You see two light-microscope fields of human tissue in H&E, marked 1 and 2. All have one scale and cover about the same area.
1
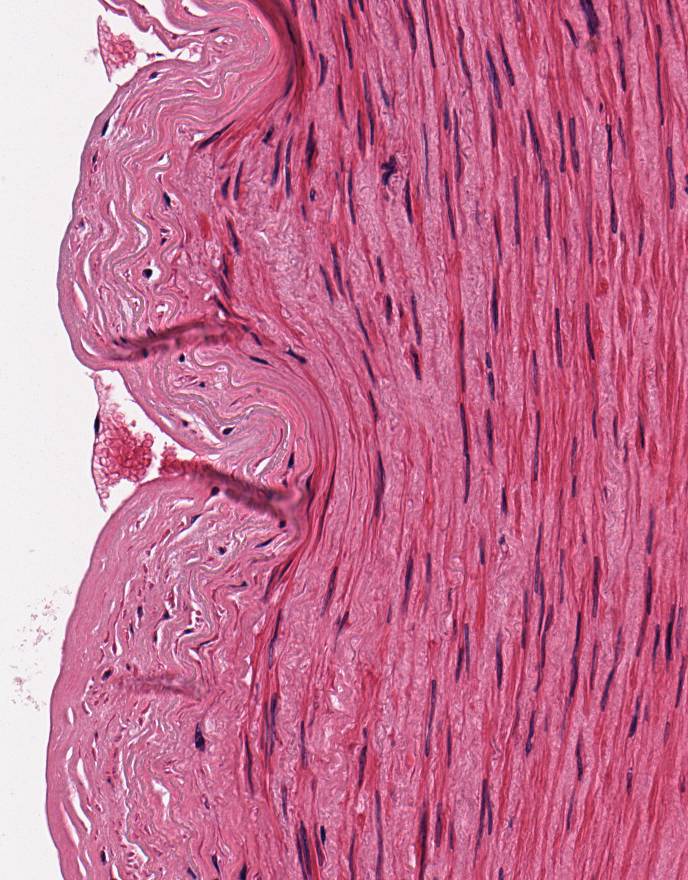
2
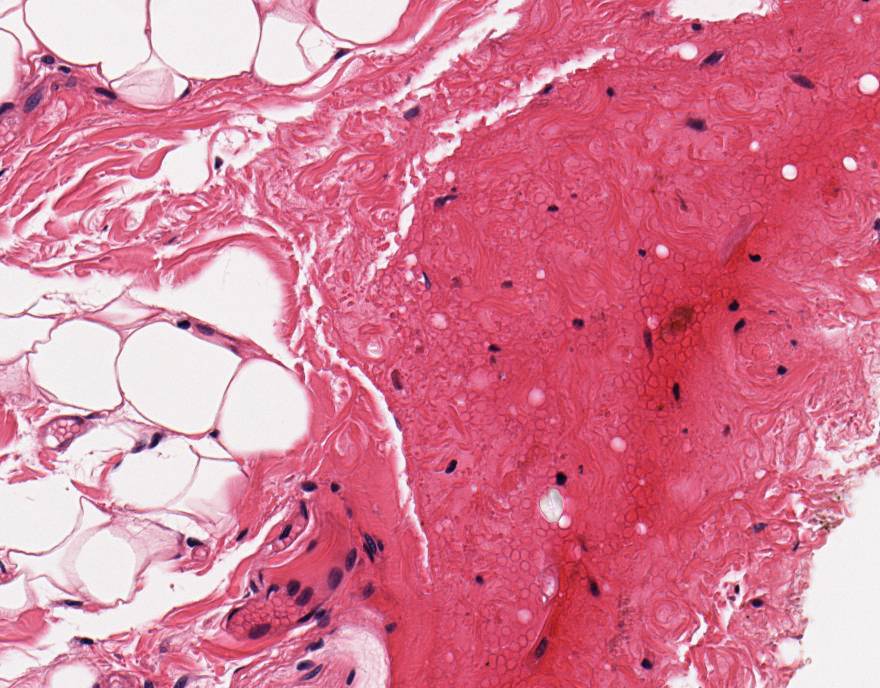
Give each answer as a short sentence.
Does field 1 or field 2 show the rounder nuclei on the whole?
On the whole the nuclei of field 2 are rounder than those of field 1.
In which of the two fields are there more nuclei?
The larger number of nuclei is in field 1.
